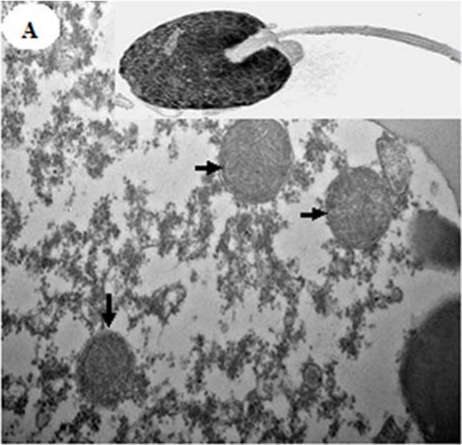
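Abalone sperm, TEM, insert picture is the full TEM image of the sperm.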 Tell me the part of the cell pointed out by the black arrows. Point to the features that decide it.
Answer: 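The organelles have a fine internal membranous texture.
Mitochondria.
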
